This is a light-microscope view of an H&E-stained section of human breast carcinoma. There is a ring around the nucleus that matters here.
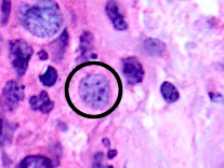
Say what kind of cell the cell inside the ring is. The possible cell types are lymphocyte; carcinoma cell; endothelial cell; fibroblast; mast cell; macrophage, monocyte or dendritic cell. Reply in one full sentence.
On this particular slide, the cell inside the ring is a macrophage, monocyte or dendritic cell.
